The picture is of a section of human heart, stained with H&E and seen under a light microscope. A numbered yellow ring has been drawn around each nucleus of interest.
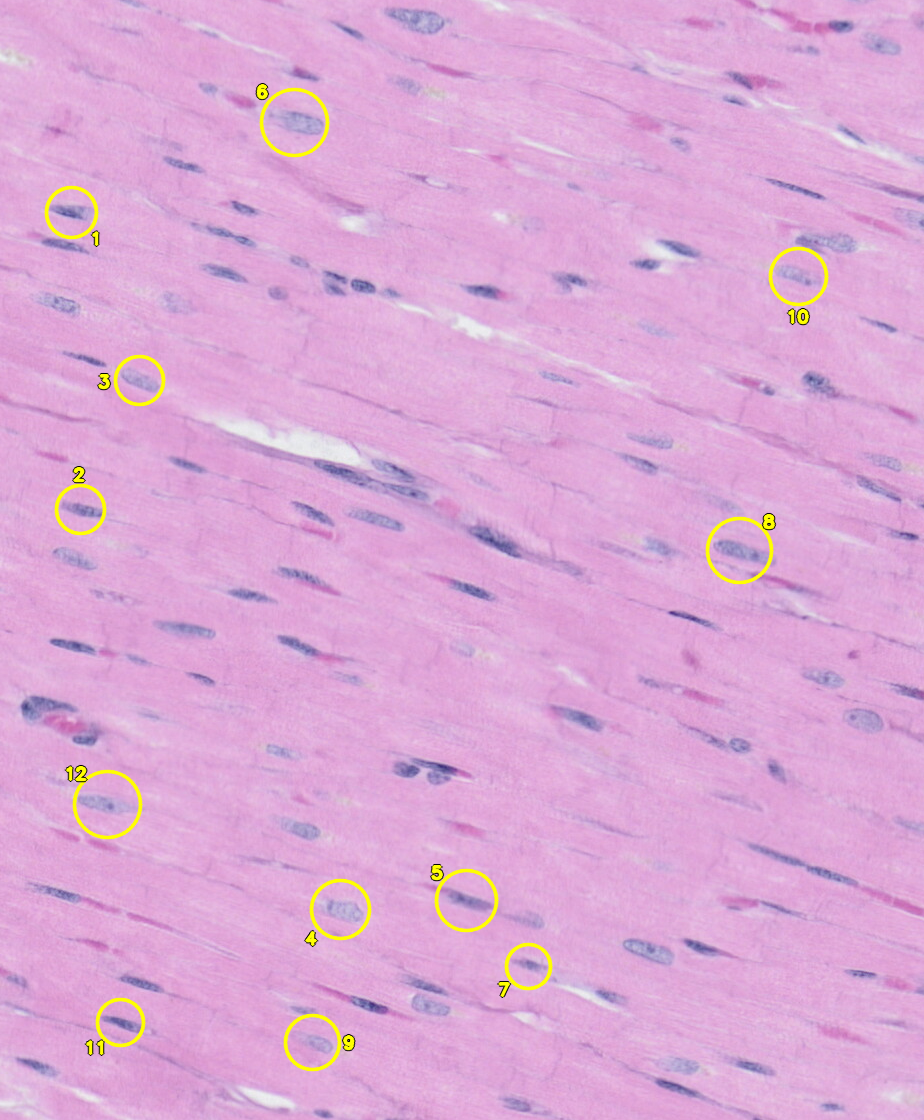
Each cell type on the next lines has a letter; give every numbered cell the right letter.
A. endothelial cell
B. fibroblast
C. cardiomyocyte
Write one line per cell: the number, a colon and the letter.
1: A
2: A
3: C
4: C
5: A
6: C
7: A
8: C
9: C
10: C
11: A
12: C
